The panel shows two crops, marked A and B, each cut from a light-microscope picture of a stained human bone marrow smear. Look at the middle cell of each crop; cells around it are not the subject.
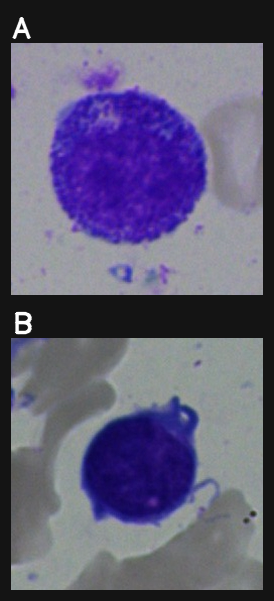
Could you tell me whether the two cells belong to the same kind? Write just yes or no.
no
